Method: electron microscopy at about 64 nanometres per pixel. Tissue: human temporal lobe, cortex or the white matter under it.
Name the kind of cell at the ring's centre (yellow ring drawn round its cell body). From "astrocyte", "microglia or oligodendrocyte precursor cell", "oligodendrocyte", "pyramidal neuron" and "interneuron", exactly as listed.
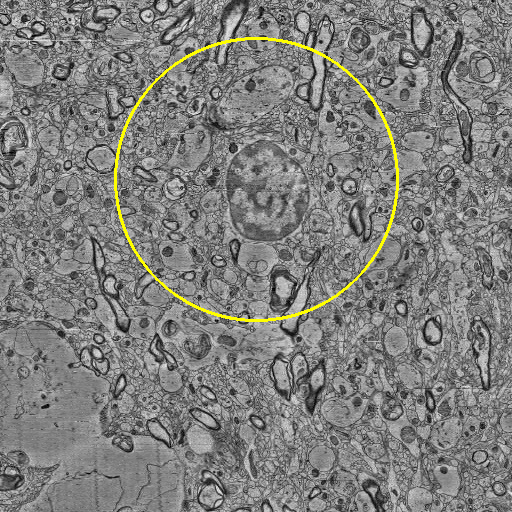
microglia or oligodendrocyte precursor cell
